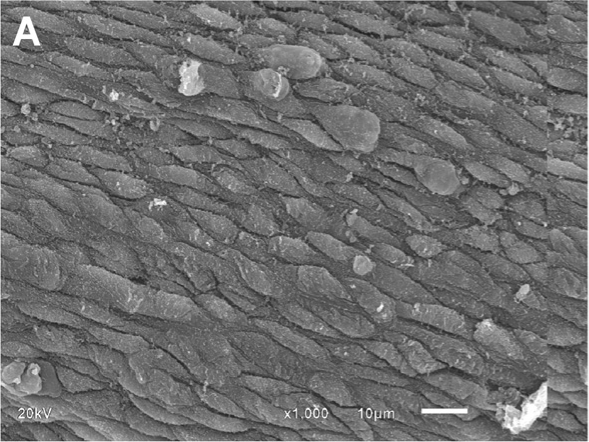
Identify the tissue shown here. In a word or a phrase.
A: Vascular endothelium.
